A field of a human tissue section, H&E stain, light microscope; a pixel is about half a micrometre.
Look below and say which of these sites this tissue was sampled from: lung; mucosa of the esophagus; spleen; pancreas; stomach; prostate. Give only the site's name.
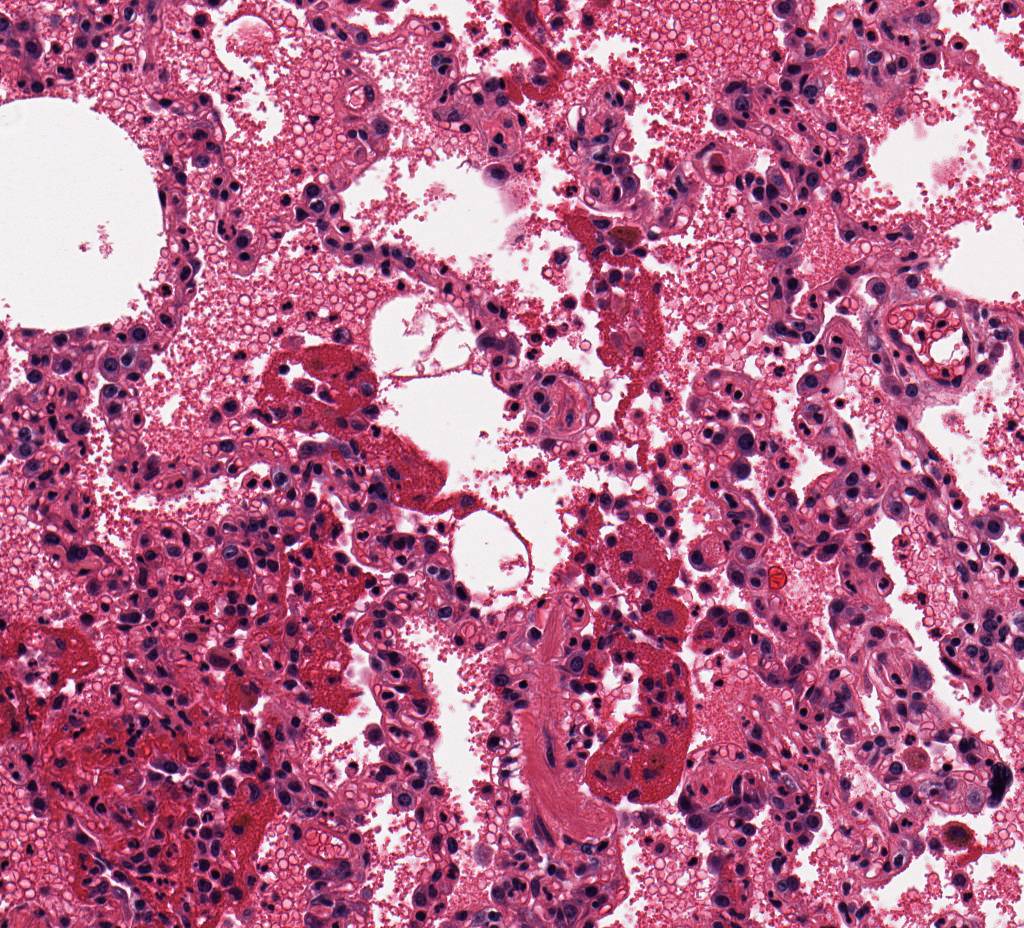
lung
